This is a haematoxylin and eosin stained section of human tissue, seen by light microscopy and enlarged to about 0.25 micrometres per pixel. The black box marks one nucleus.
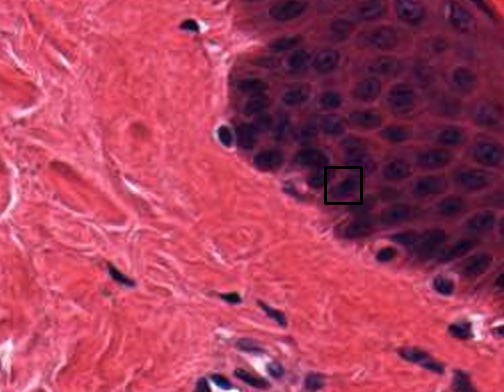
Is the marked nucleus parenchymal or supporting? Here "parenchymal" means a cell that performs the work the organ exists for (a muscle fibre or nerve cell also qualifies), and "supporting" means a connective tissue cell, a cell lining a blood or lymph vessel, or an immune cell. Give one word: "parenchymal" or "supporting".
parenchymal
